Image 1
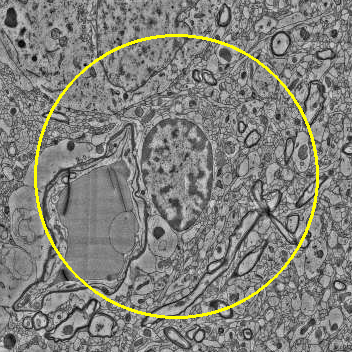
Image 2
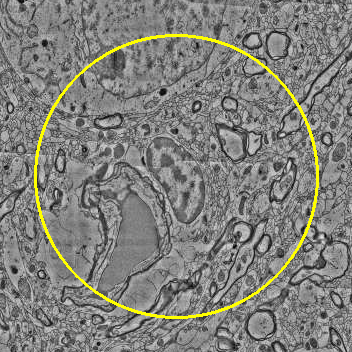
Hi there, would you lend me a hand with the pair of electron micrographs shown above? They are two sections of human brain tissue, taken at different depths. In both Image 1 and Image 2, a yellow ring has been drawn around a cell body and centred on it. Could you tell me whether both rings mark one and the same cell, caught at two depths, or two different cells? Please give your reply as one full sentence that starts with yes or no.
Yes, only one cell is involved, and both rings mark it.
